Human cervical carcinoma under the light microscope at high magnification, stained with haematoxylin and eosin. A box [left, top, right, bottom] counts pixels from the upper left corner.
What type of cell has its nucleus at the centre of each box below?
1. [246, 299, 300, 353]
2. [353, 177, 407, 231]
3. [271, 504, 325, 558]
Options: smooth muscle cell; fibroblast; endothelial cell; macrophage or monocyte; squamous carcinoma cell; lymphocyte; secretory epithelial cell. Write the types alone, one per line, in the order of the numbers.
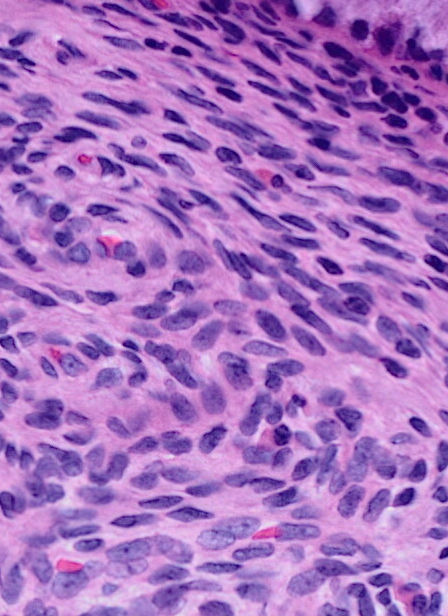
fibroblast
fibroblast
endothelial cell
